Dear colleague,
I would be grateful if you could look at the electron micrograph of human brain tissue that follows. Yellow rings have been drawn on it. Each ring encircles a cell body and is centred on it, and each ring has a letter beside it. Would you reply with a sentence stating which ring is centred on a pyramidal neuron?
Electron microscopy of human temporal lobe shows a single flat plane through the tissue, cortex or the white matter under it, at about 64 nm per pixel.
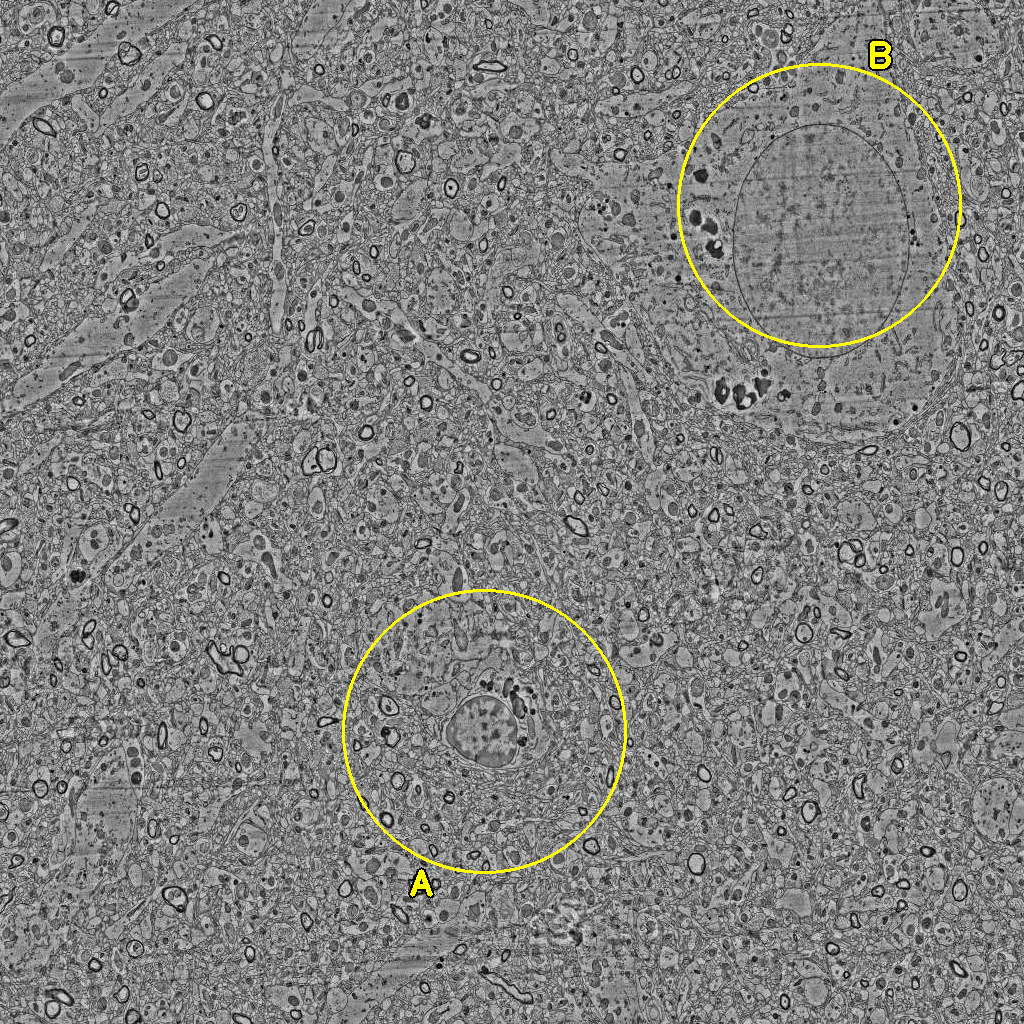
The ring centred on it is ring B.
